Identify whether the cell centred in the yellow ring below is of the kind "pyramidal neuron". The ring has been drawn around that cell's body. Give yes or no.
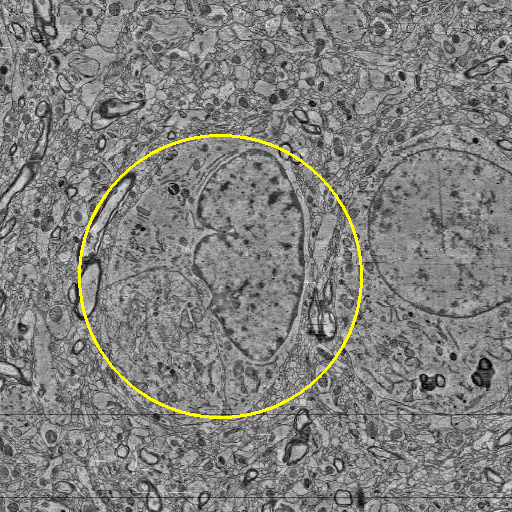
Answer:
no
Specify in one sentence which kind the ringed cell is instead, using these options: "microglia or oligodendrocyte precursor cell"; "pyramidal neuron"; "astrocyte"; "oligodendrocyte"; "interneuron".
Instead, the ring surrounds a microglial cell or oligodendrocyte precursor cell in this picture.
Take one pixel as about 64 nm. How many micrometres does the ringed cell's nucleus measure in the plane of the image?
The nucleus comes to approximately 12 by 7 micrometres and is clearly longer than it is wide in this plane.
